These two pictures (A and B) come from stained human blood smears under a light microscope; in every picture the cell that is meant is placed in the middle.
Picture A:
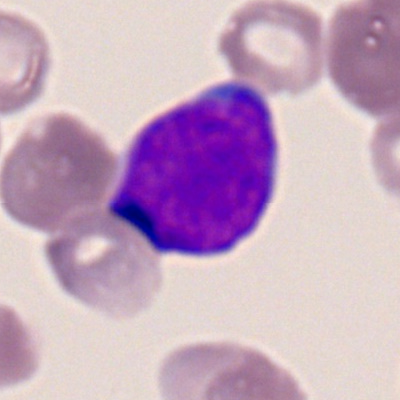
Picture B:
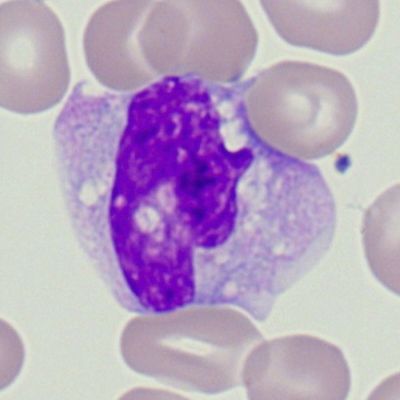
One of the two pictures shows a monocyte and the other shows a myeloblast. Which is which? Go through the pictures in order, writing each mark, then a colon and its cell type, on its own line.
A: myeloblast
B: monocyte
